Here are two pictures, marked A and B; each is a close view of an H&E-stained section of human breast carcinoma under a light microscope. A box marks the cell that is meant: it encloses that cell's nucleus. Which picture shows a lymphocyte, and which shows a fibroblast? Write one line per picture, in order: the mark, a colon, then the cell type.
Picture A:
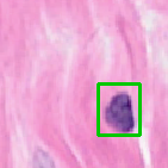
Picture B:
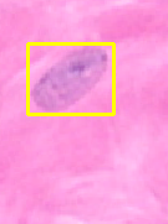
A: lymphocyte
B: fibroblast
